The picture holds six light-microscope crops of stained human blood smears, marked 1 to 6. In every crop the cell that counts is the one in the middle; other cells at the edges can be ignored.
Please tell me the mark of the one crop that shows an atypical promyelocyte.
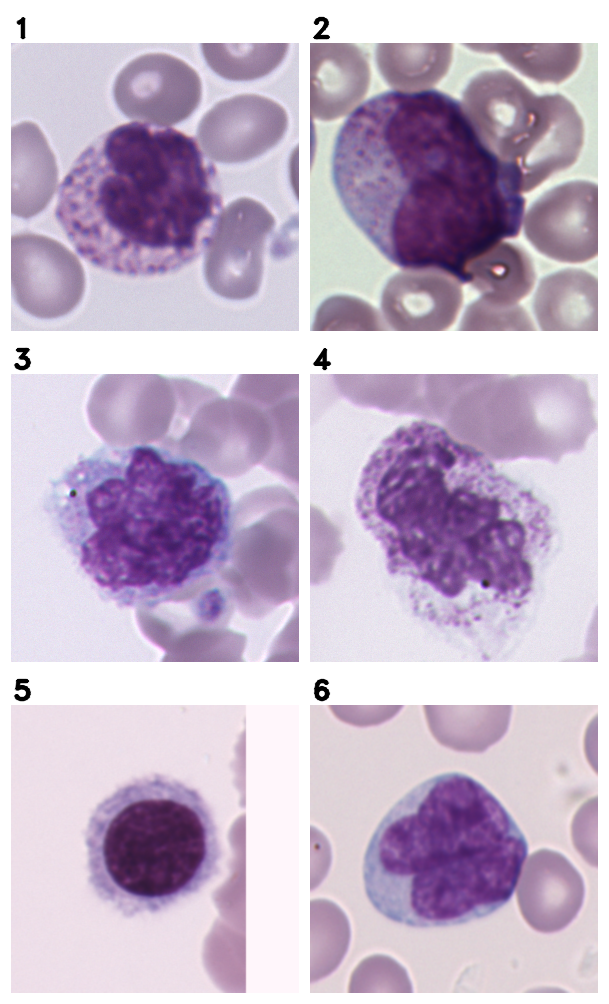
2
